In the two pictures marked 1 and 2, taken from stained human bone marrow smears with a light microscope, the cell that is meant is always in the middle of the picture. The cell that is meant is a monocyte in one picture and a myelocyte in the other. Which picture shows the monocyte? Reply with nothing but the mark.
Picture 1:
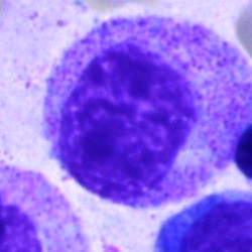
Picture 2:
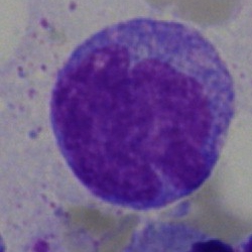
2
